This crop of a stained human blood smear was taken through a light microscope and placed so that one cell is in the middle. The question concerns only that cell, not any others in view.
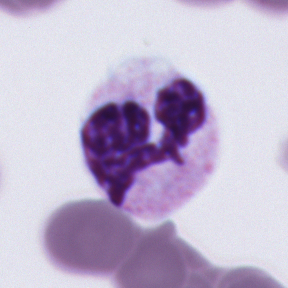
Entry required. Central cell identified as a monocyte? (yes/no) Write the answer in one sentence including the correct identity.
No, instead of a monocyte, the centred cell represents a segmented neutrophil.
